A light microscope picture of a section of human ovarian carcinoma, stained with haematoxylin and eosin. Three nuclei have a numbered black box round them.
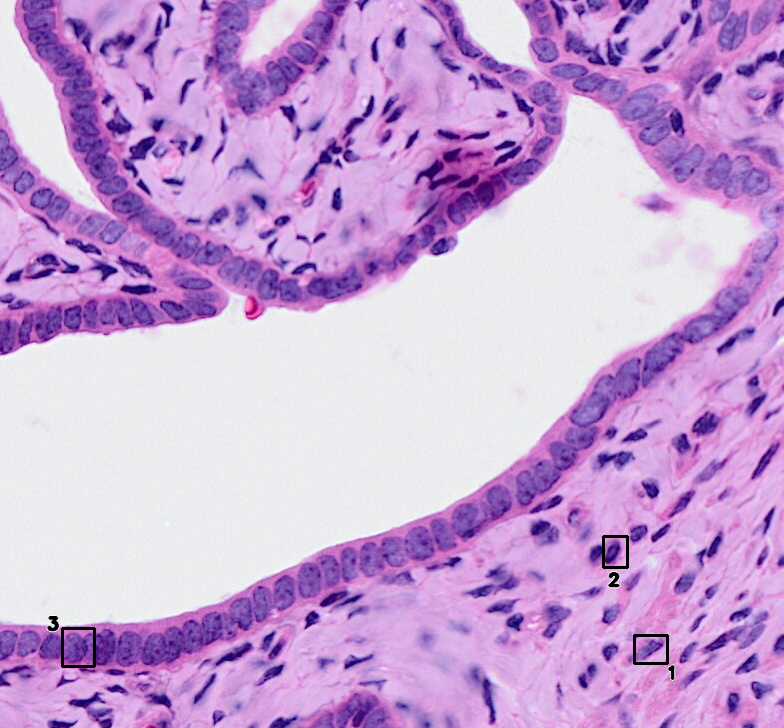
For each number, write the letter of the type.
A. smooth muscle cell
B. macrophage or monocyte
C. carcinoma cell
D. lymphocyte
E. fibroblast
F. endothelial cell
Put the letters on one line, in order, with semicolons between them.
A; F; C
